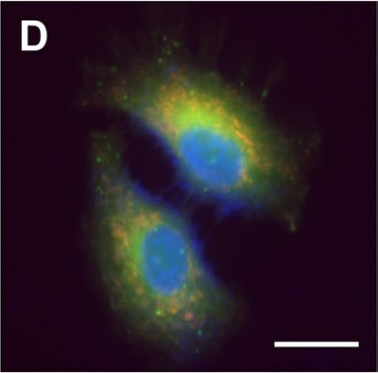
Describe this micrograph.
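Two adherent cultured cells are shown in a merged colour image, each with a blue oval nucleus surrounded by cytoplasm. The cytoplasm carries green and red fluorescence, which overlap to give yellow to orange granules concentrated around the nucleus. Scattered separate red and green dots lie further out in the cytoplasm. The cells are spread and irregular in outline, with thin, faint protrusions extending from their margins.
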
